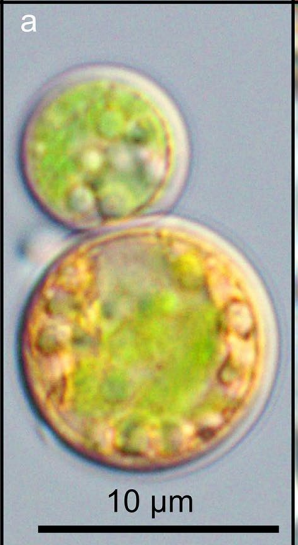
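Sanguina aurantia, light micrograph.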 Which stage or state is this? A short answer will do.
Young cysts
